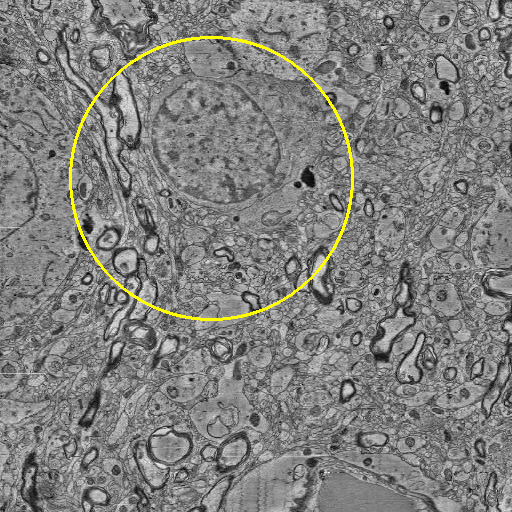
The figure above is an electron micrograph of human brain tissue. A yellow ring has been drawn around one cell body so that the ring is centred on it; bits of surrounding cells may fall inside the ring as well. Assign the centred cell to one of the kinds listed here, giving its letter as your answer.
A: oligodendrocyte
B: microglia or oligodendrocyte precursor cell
A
